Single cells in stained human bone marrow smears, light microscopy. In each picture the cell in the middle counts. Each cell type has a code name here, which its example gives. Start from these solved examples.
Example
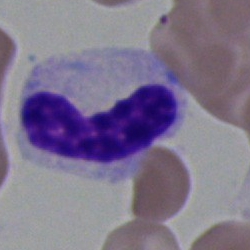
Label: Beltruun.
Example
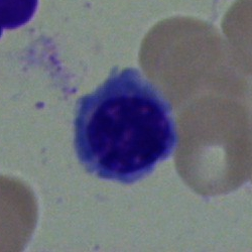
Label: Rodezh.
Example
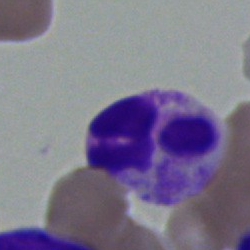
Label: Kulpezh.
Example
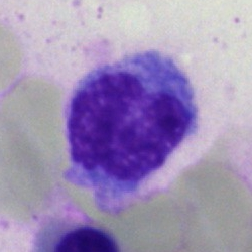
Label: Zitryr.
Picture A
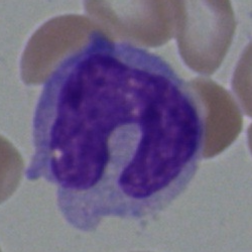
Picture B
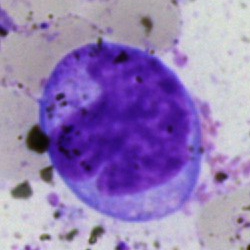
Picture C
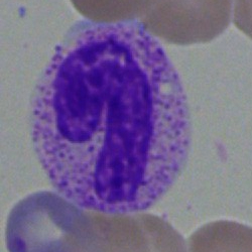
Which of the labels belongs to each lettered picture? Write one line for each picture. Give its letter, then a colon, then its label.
A: Zitryr.
B: Zitryr.
C: Beltruun.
